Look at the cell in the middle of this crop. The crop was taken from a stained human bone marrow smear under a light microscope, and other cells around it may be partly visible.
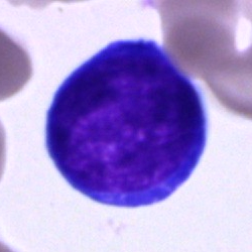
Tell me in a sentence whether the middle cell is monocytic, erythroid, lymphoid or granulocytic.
As for the middle cell, it is a member of the erythroid lineage.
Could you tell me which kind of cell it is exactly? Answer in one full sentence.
The middle of this crop is occupied by a proerythroblast.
